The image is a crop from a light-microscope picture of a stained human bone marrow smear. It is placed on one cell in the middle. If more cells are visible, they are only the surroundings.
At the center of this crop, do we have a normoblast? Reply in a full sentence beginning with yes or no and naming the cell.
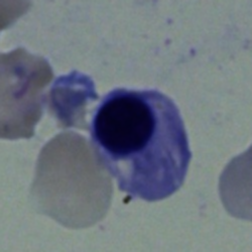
Yes, the cell shown in the middle is a normoblast.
